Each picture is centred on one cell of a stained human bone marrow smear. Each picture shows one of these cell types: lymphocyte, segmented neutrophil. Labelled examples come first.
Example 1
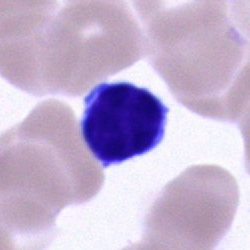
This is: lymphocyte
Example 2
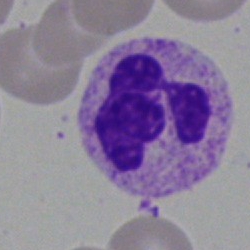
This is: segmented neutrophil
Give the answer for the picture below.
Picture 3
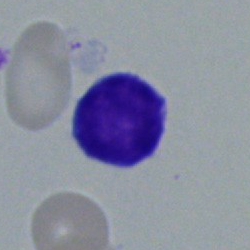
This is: lymphocyte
